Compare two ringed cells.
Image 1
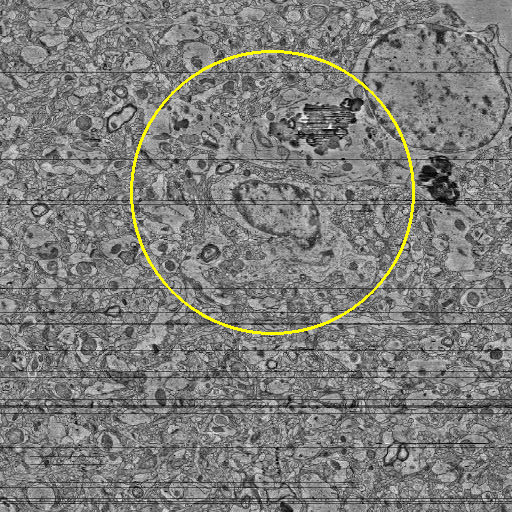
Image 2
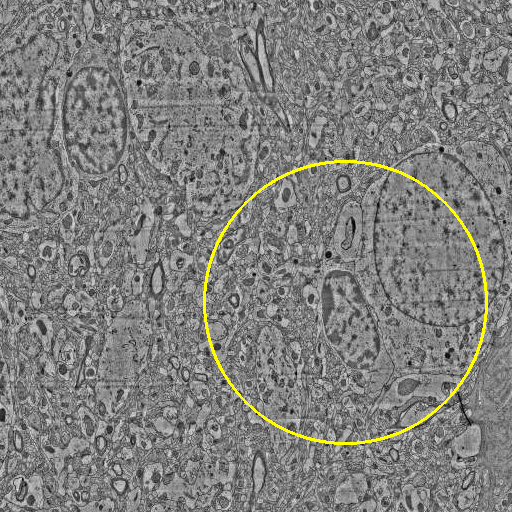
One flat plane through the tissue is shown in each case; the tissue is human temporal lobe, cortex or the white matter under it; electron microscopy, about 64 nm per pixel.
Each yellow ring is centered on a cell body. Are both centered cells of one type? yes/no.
yes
